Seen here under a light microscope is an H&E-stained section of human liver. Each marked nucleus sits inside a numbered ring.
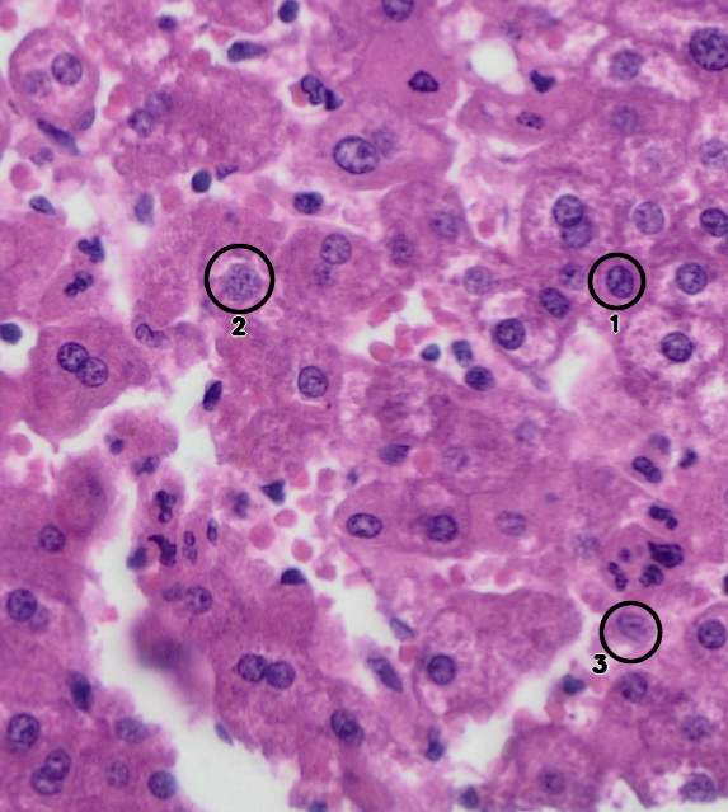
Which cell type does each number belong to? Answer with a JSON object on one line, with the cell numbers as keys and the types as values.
{"1": "hepatocyte", "2": "hepatocyte", "3": "Kupffer cell"}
